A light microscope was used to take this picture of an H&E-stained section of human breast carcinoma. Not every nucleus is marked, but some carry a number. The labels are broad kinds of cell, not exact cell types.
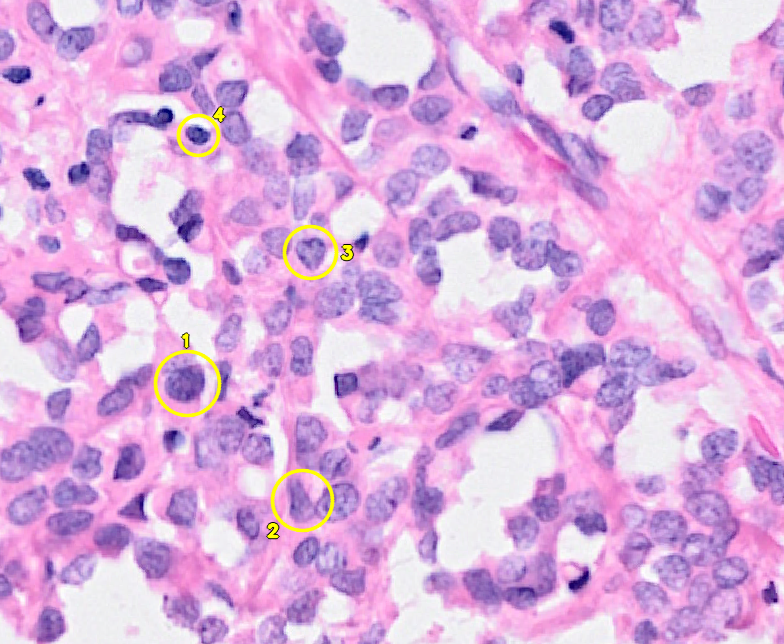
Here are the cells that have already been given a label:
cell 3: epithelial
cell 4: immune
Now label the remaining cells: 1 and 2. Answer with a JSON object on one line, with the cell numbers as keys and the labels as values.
{"1": "epithelial", "2": "epithelial"}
